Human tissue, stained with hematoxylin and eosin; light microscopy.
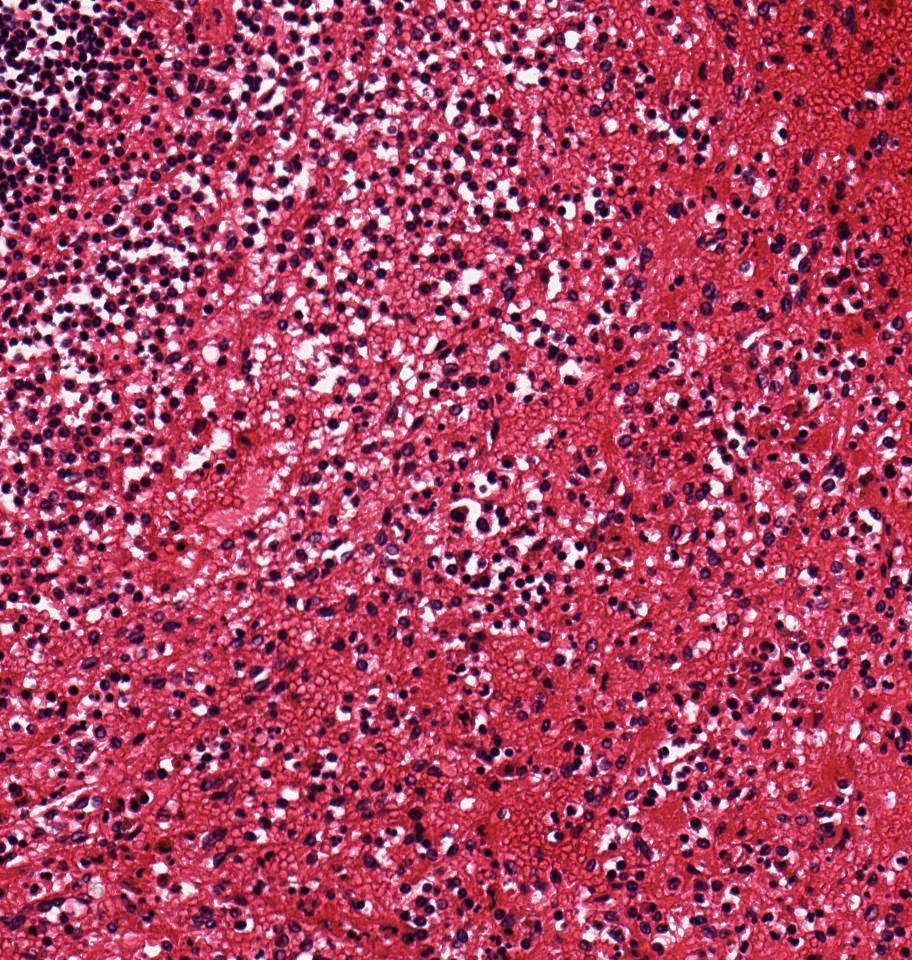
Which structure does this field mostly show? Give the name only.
red pulp of the spleen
